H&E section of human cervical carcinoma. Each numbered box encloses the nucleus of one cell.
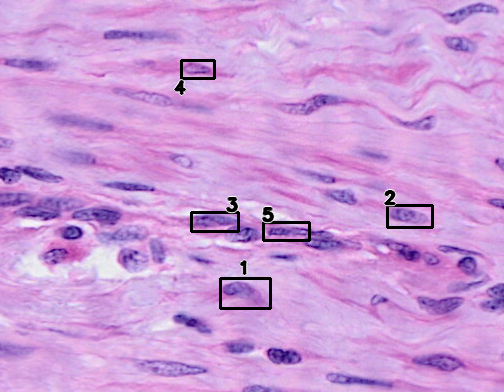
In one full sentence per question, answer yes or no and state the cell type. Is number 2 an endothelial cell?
No, the cell numbered 2 is a smooth muscle cell rather than an endothelial cell.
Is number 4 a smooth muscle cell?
Yes, the cell pointed out as number 4 is a smooth muscle cell.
